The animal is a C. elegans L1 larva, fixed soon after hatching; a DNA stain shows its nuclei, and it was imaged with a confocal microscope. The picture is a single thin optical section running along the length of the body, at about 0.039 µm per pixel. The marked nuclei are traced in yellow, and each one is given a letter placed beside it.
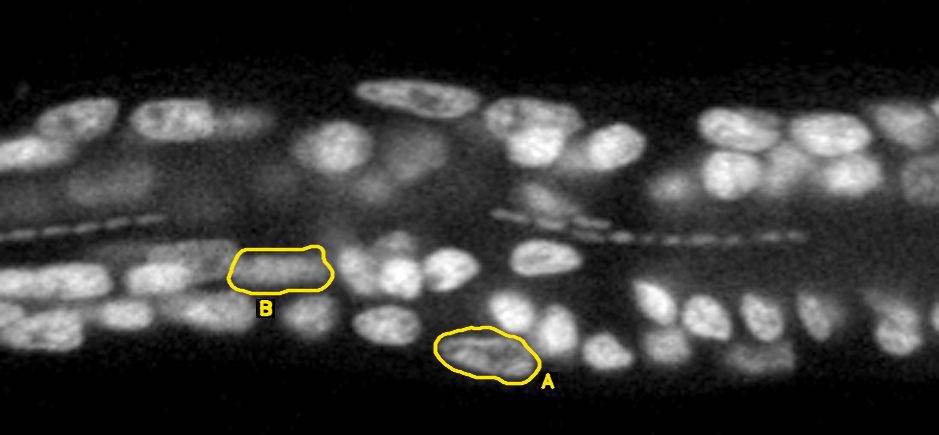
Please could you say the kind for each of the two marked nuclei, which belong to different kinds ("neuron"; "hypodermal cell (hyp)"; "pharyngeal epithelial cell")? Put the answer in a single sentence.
A is in a hypodermal cell (hyp) and B is in a pharyngeal epithelial cell.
